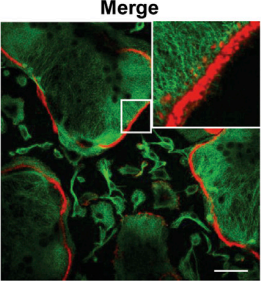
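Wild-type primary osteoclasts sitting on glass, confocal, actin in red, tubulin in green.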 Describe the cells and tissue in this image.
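The inset shows the red band resolved into a tight row of small dots, with green filaments running up to its inner side. Much smaller cells with their own green networks lie in the spaces between the large cells.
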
